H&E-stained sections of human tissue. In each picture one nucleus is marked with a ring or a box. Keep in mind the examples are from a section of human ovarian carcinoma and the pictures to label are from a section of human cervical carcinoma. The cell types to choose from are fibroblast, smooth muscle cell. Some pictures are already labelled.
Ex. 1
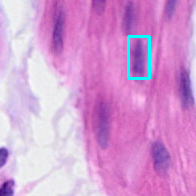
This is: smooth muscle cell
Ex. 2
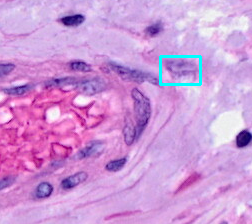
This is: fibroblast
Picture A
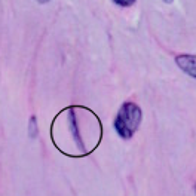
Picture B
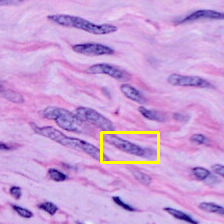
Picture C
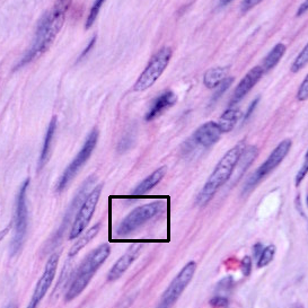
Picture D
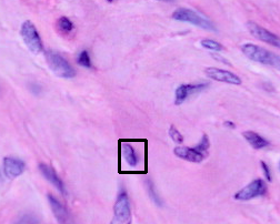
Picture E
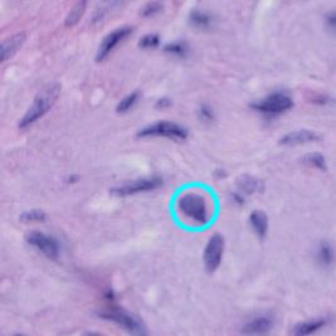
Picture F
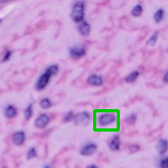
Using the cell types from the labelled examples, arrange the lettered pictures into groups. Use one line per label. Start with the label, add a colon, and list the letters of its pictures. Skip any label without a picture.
fibroblast: A, D, E
smooth muscle cell: B, C, F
